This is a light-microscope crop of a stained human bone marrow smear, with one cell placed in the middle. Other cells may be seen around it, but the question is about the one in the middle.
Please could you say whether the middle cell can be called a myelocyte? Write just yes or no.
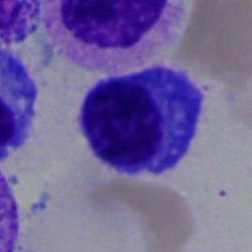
no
